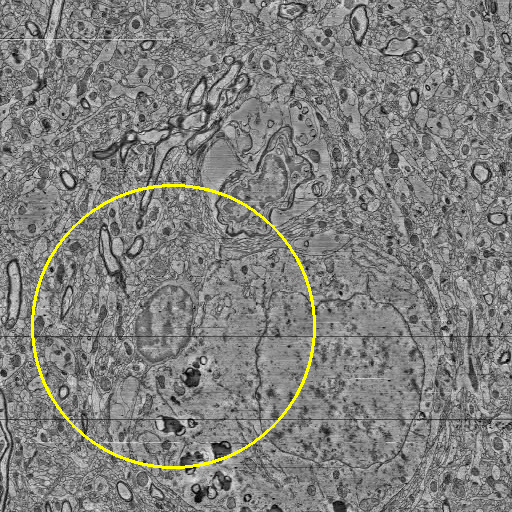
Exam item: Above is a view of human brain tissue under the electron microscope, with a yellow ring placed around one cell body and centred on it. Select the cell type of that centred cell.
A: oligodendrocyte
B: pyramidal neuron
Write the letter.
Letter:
A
